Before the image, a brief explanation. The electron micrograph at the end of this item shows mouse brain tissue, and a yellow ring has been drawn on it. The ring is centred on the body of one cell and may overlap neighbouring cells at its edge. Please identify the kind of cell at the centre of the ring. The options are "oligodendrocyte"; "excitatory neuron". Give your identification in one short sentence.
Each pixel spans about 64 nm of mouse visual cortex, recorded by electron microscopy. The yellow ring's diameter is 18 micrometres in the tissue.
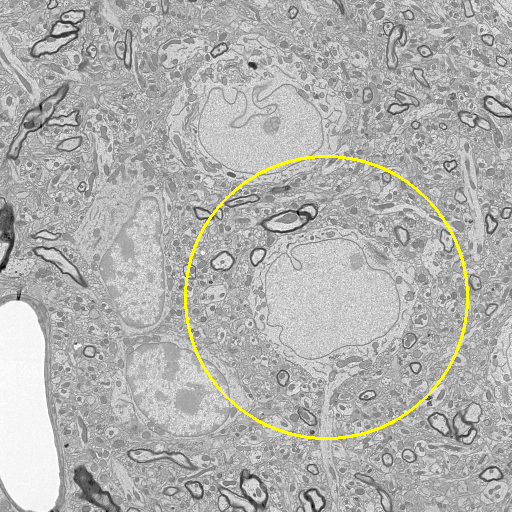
The ring has been placed around an excitatory neuron.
